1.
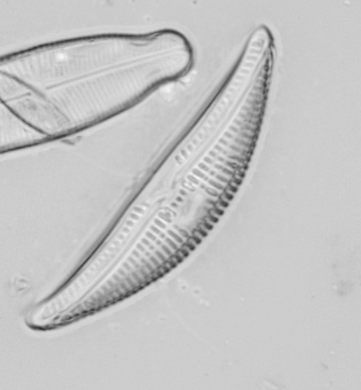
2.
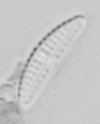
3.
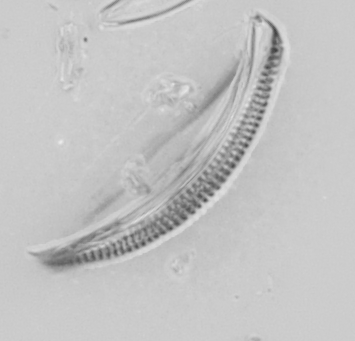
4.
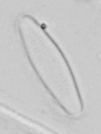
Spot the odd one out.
Picture 4 (Achnanthidium among Amphora).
